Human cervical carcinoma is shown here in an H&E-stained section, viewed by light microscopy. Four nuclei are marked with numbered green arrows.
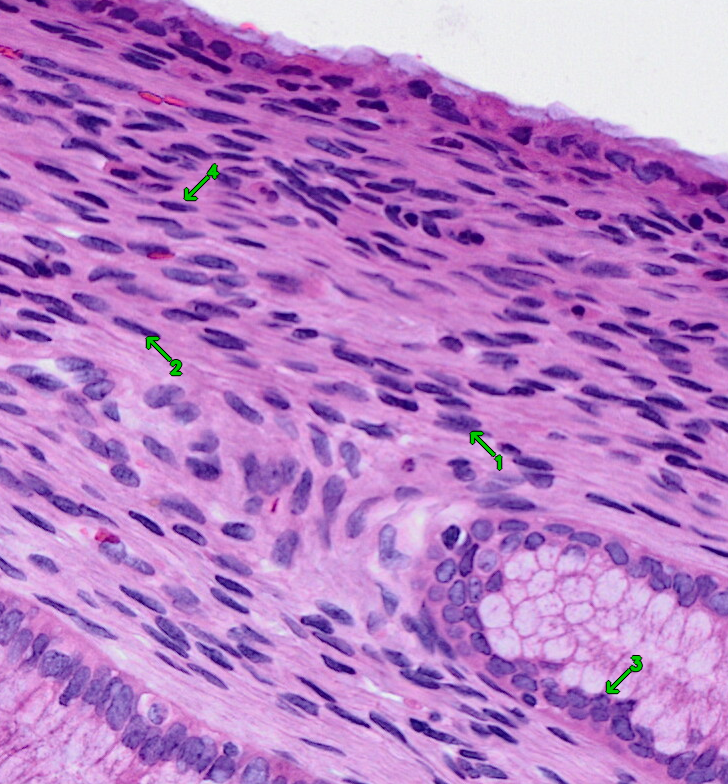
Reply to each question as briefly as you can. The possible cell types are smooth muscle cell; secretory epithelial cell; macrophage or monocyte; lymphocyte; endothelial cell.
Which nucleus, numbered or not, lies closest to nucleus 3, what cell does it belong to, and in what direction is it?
a secretory epithelial cell, below nucleus 3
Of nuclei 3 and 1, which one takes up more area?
1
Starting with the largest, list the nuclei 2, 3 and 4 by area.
2, 4, 3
